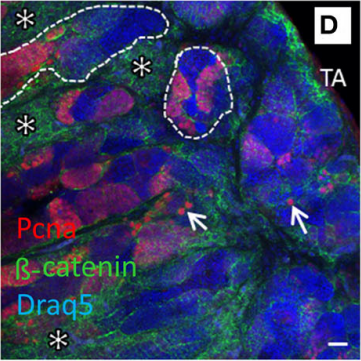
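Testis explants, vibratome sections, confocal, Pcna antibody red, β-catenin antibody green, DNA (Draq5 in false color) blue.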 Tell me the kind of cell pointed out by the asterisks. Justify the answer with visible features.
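The asterisks lie in the spaces between the cell-filled compartments.
Answer: Leydig cell groups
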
